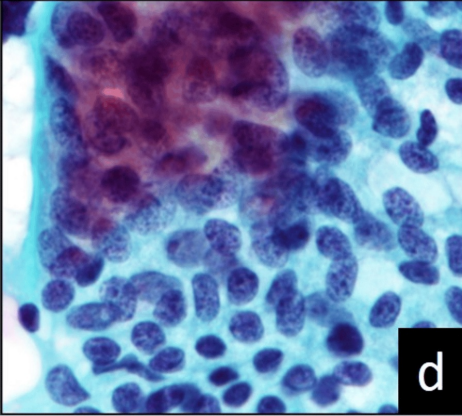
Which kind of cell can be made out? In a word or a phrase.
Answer: two types of cells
